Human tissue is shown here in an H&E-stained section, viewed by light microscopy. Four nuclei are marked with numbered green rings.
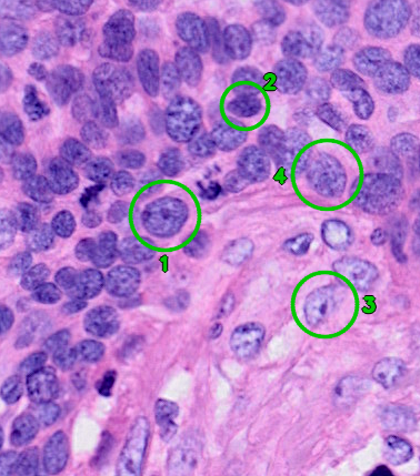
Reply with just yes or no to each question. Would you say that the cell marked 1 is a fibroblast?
no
